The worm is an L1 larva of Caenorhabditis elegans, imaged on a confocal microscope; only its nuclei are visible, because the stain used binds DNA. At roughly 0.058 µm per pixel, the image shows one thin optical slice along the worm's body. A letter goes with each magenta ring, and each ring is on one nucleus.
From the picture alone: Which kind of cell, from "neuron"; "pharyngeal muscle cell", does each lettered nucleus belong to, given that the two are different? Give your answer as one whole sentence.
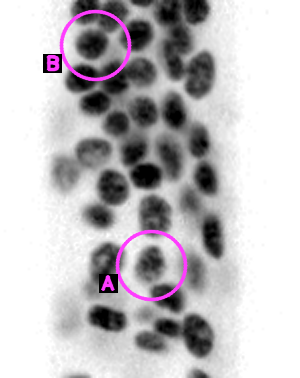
A belongs to a pharyngeal muscle cell and B to a neuron.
